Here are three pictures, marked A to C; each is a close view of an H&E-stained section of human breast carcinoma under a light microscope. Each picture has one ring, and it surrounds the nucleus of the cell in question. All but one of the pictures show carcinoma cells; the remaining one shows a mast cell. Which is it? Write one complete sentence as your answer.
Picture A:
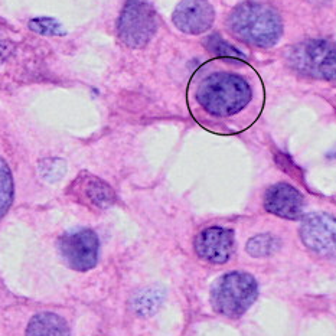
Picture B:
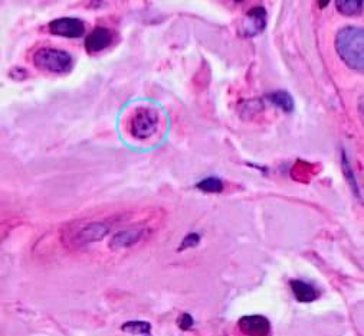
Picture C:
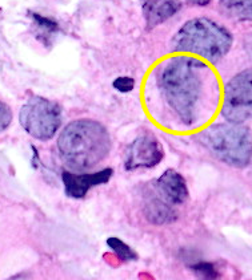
The mast cell is the one in picture B.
